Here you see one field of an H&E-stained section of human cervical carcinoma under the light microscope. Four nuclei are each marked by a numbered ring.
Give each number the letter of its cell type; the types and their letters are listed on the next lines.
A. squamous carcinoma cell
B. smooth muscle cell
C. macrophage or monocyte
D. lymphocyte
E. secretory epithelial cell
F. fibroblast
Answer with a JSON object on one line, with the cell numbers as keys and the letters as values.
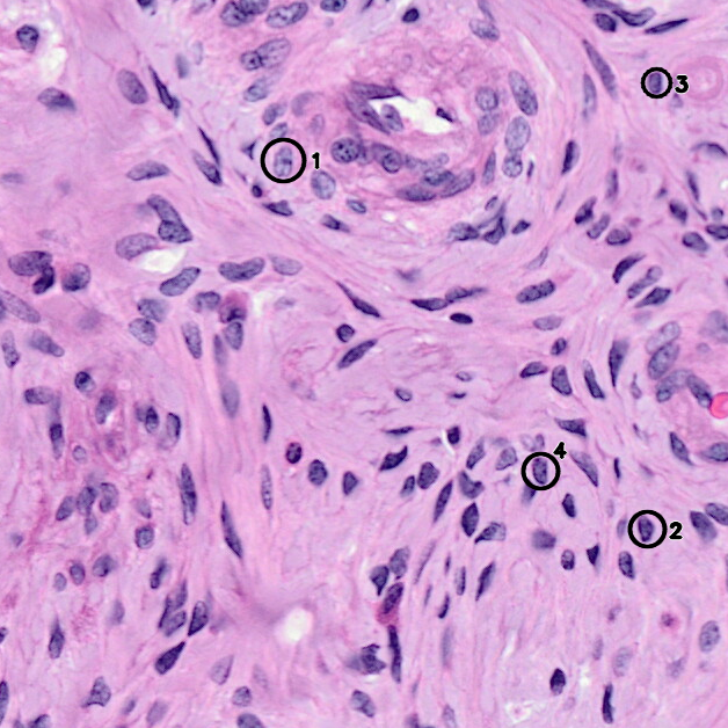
{"1": "B", "2": "F", "3": "F", "4": "F"}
